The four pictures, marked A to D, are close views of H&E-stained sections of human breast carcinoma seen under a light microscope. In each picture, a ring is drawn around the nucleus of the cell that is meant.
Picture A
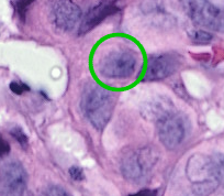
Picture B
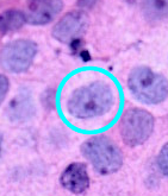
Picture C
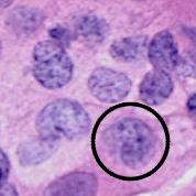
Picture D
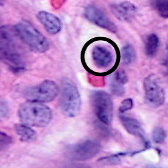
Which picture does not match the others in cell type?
D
